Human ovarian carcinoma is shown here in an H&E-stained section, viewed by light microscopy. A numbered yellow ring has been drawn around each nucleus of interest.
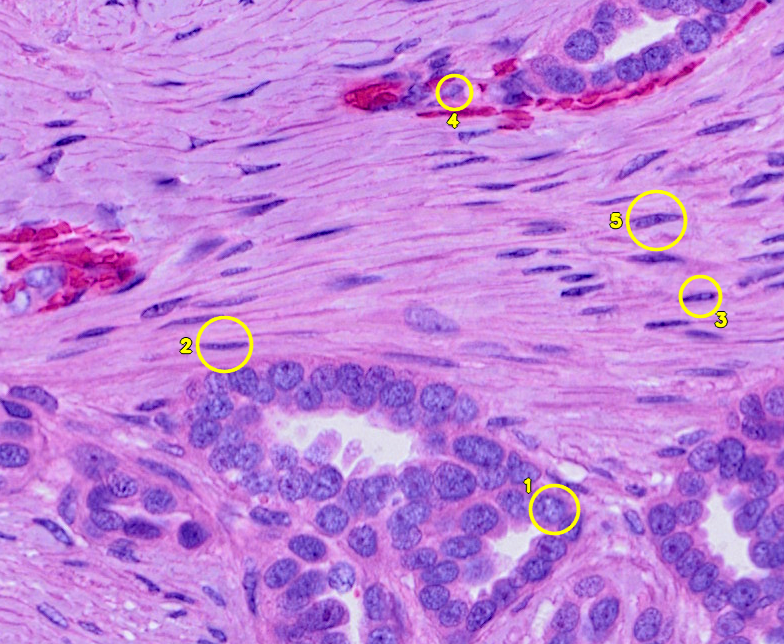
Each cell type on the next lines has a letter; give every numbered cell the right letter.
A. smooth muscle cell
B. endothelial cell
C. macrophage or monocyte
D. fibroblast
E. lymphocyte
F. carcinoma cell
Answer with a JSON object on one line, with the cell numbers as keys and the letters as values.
{"1": "F", "2": "D", "3": "D", "4": "B", "5": "D"}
